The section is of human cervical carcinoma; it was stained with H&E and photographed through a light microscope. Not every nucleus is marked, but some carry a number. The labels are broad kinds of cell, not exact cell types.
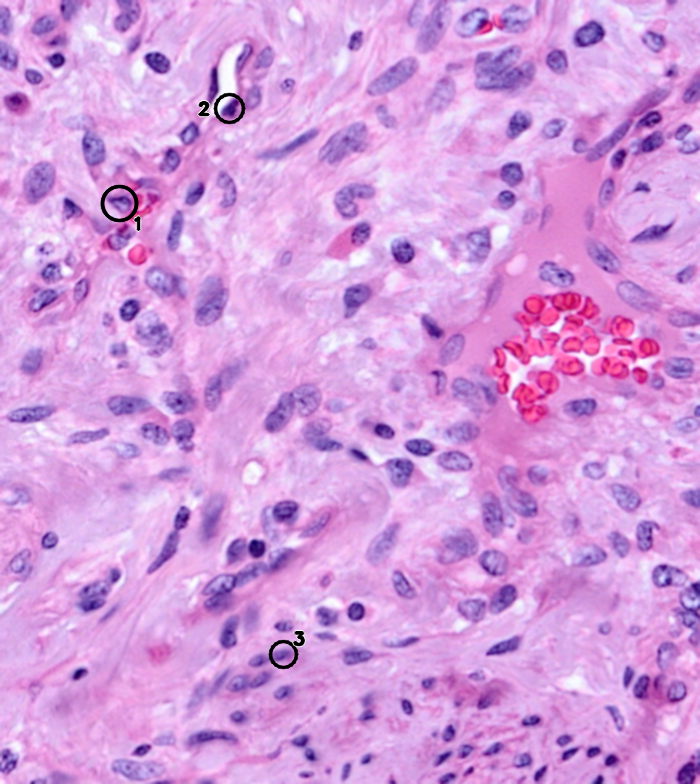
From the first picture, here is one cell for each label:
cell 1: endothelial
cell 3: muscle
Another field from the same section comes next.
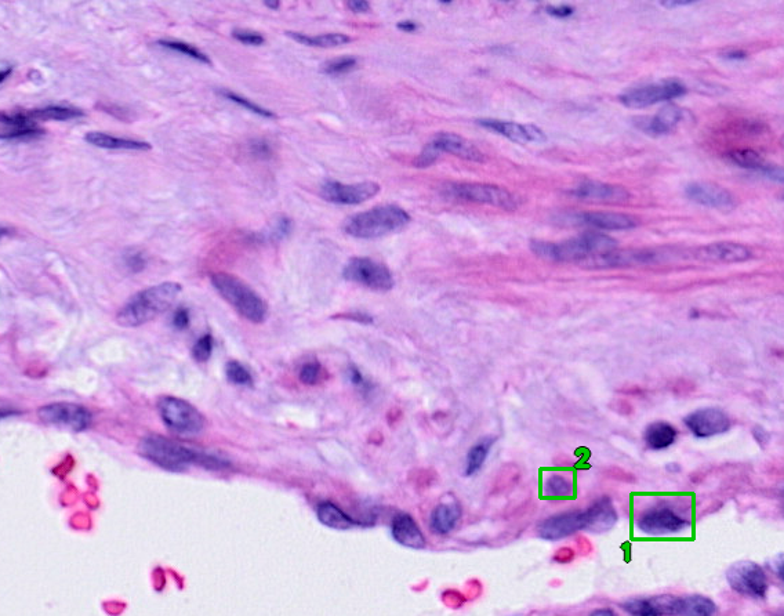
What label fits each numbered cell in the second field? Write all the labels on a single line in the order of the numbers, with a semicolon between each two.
endothelial; muscle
